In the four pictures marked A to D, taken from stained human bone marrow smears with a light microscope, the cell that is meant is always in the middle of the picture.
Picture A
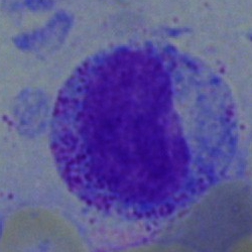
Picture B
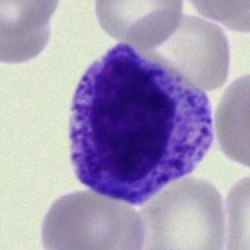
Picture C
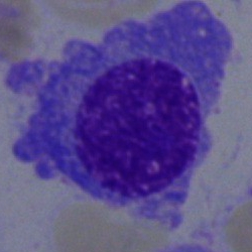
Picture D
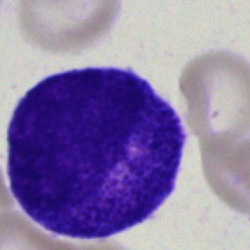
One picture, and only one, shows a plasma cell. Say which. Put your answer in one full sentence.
The plasma cell is the one in picture C.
